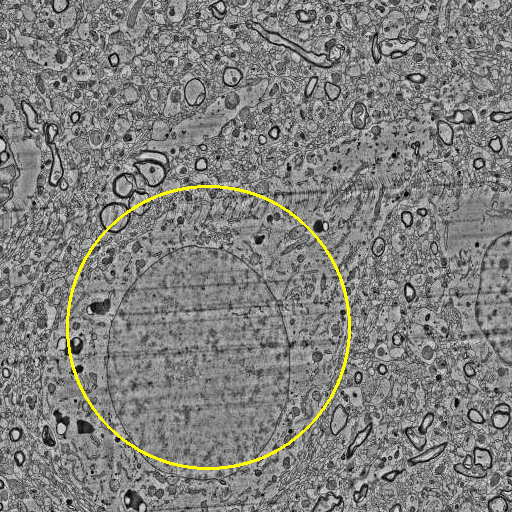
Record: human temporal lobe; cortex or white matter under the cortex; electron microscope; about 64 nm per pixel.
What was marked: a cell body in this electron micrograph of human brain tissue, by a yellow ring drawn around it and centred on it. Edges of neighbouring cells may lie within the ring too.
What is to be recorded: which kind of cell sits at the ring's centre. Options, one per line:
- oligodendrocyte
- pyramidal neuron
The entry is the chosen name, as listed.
pyramidal neuron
